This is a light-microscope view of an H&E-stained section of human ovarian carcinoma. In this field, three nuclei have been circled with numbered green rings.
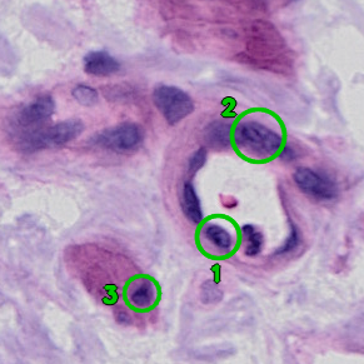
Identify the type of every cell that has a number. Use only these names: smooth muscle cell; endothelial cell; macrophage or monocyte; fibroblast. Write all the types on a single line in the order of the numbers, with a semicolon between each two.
endothelial cell; endothelial cell; smooth muscle cell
